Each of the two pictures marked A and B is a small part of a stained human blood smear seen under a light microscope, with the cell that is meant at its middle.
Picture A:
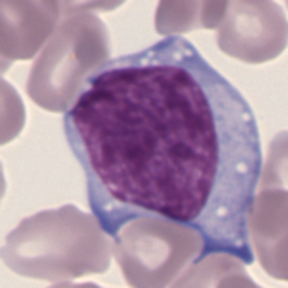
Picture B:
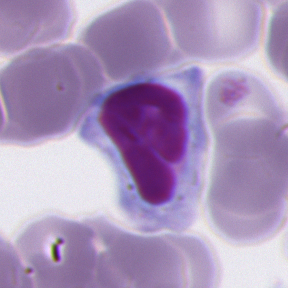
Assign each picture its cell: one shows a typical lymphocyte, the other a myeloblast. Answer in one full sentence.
Picture B shows a typical lymphocyte, while picture A shows a myeloblast.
